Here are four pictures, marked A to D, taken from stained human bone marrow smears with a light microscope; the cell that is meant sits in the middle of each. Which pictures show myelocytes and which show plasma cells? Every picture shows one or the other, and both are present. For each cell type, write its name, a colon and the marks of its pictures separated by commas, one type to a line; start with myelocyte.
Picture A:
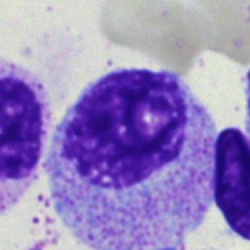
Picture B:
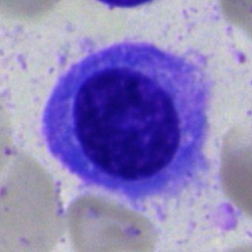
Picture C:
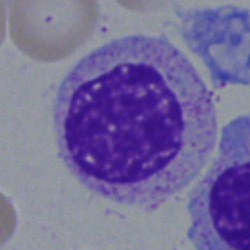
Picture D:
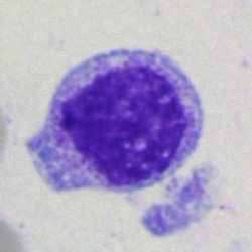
myelocyte: A, C, D
plasma cell: B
